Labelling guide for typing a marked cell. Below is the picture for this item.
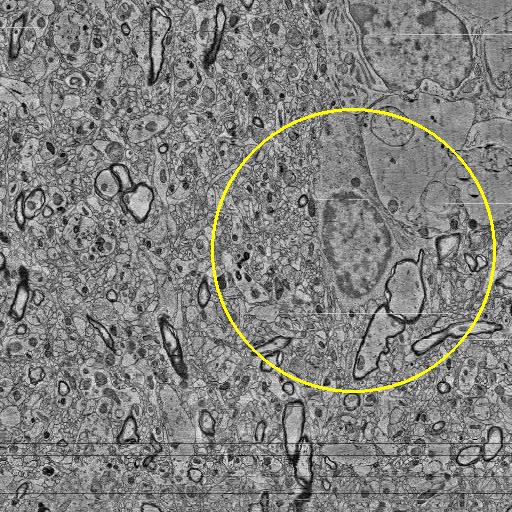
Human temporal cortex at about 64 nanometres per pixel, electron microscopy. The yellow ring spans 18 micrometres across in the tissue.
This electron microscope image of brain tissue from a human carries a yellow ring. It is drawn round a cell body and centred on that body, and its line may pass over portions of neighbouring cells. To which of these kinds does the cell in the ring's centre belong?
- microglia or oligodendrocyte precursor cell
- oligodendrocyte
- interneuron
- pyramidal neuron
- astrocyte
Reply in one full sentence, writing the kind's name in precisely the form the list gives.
Here we have an oligodendrocyte at the centre of the yellow ring in the picture.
